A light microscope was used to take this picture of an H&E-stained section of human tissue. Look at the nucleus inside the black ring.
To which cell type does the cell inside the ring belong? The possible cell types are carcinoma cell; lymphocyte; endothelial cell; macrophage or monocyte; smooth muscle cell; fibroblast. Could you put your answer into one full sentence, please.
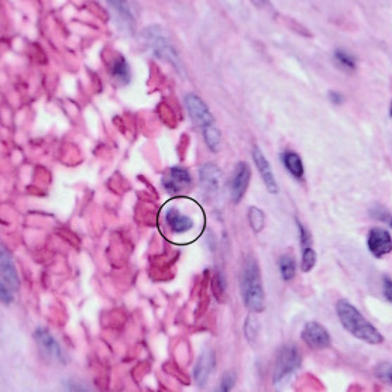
It is a lymphocyte that the cell inside the ring represents.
